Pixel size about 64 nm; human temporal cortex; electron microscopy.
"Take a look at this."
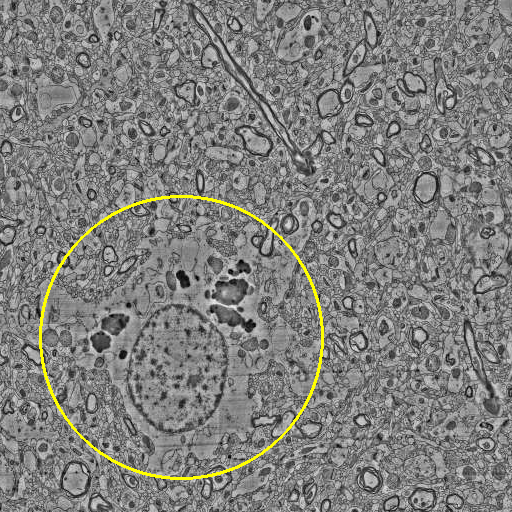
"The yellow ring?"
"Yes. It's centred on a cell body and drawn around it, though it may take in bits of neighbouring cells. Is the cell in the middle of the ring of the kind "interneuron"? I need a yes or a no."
No, it is of another kind.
